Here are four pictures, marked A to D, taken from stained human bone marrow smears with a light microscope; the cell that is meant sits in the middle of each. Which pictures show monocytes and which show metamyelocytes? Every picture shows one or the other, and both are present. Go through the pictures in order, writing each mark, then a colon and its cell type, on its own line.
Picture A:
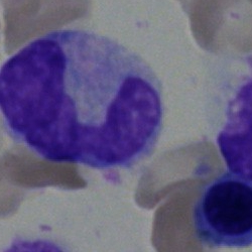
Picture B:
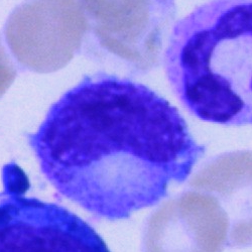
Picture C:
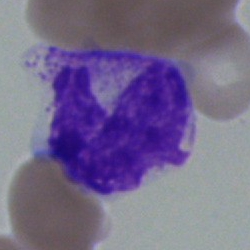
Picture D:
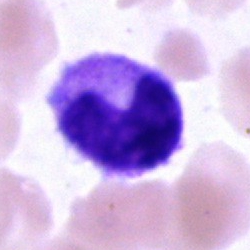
A: monocyte
B: metamyelocyte
C: metamyelocyte
D: metamyelocyte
